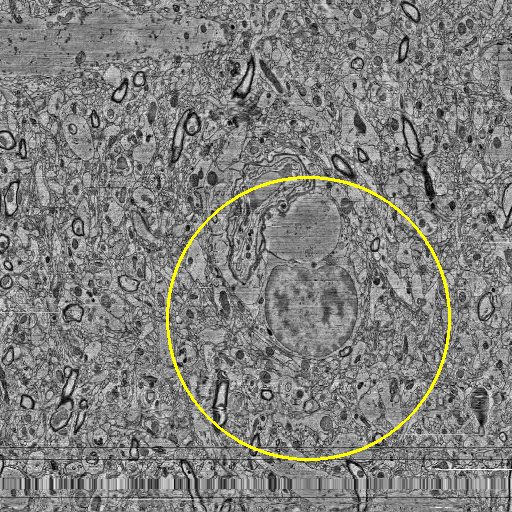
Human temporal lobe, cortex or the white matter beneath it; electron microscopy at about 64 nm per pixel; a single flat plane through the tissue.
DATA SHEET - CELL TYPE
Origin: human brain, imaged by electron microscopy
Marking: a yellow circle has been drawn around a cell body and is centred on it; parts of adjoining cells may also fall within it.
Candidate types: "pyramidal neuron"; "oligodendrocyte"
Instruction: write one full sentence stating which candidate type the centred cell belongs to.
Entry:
The cell body at the centre of the yellow ring in this micrograph belongs to an oligodendrocyte.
